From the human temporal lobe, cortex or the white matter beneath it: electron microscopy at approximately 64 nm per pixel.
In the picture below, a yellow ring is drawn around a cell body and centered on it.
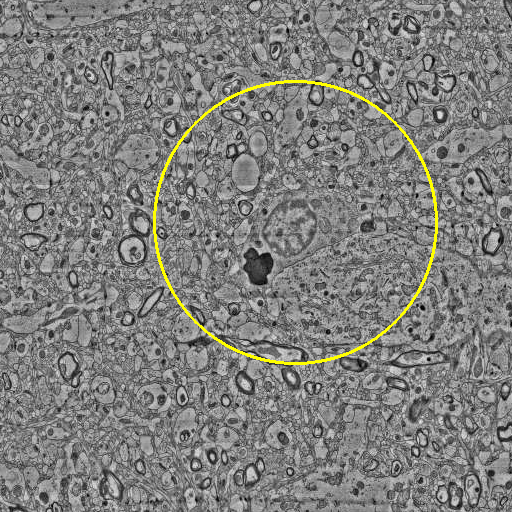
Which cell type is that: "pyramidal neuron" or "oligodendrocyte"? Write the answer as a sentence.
The cell centered in the ring is an oligodendrocyte.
